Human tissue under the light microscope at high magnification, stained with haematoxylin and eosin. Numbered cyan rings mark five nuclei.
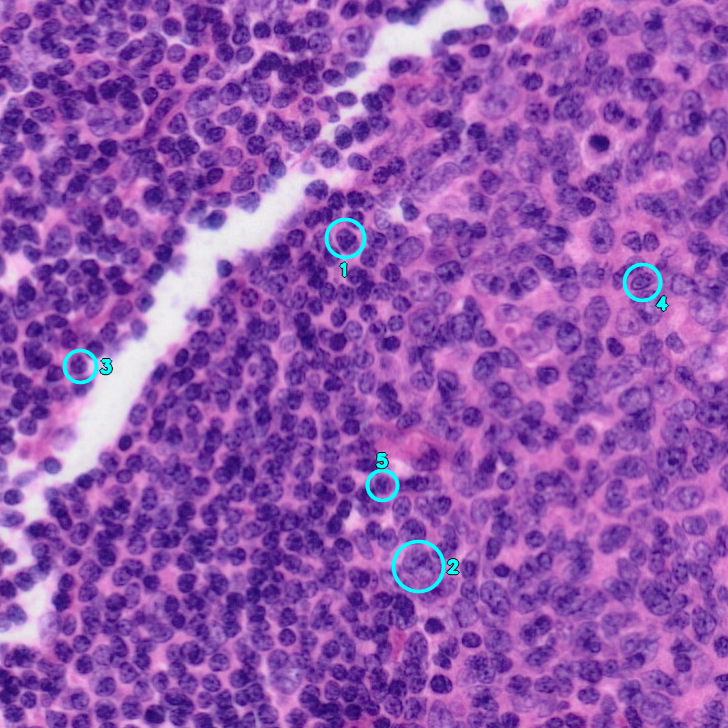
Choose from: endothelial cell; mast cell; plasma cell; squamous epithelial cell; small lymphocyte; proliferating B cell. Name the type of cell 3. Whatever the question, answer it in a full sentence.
In this section, the cell tagged 3 is a small lymphocyte.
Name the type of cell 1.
Cell number 1 in this section is a small lymphocyte.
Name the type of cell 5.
The expected answer is that cell 5 is a small lymphocyte.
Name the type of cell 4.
In the tissue shown, cell 4 is a proliferating B cell.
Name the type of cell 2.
The cell with the number 2 is a proliferating B cell.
